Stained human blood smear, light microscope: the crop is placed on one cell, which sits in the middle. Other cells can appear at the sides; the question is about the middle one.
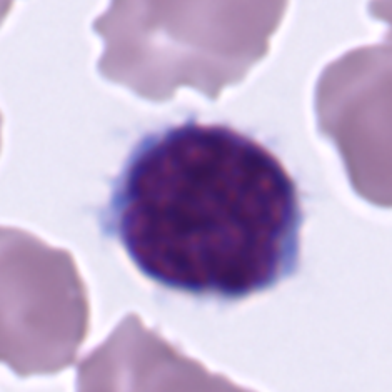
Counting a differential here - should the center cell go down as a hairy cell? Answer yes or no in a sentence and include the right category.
Yes, the cell shown centrally is a hairy cell.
